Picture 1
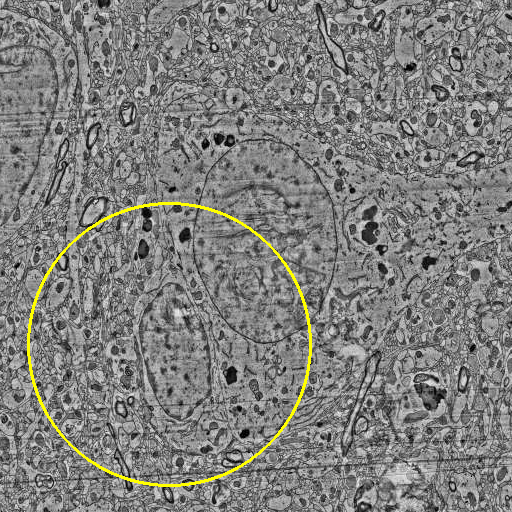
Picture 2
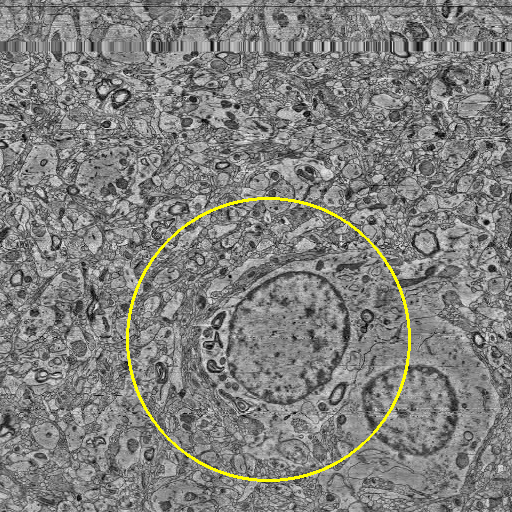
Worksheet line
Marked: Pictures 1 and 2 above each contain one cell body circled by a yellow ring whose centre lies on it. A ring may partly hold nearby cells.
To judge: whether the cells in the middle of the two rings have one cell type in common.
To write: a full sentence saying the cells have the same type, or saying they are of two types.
The cells in the middle of the rings in Picture 1 and Picture 2 are of two types.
